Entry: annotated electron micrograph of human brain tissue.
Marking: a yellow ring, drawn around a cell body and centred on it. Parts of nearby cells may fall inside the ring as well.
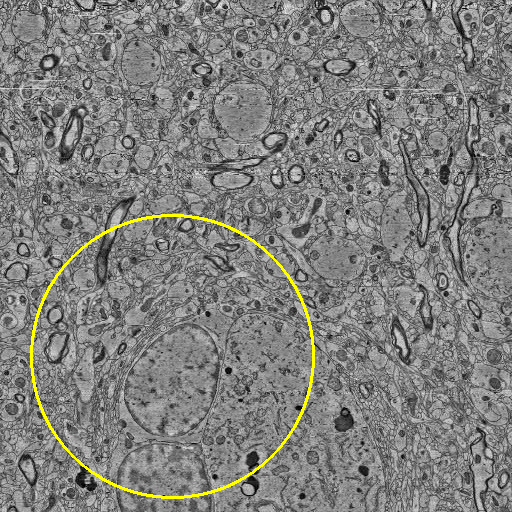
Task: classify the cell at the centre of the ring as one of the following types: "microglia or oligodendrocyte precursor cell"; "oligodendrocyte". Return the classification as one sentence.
The marked cell is classified as a microglial cell or oligodendrocyte precursor cell.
